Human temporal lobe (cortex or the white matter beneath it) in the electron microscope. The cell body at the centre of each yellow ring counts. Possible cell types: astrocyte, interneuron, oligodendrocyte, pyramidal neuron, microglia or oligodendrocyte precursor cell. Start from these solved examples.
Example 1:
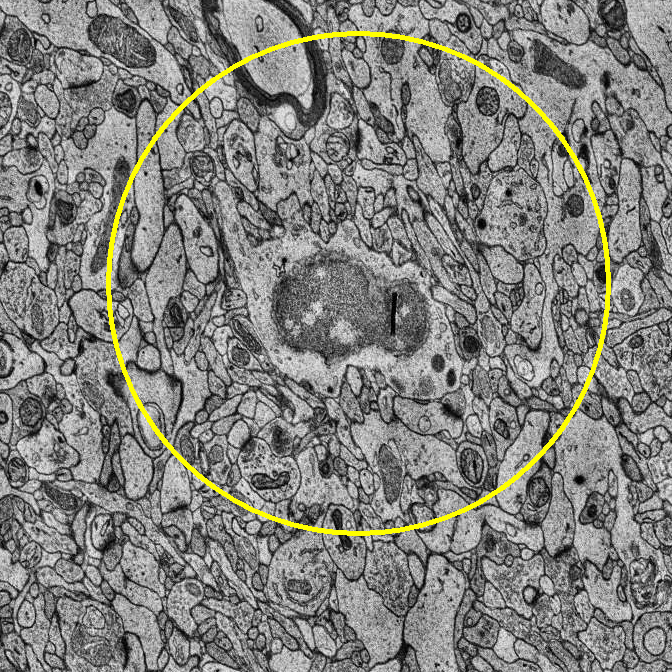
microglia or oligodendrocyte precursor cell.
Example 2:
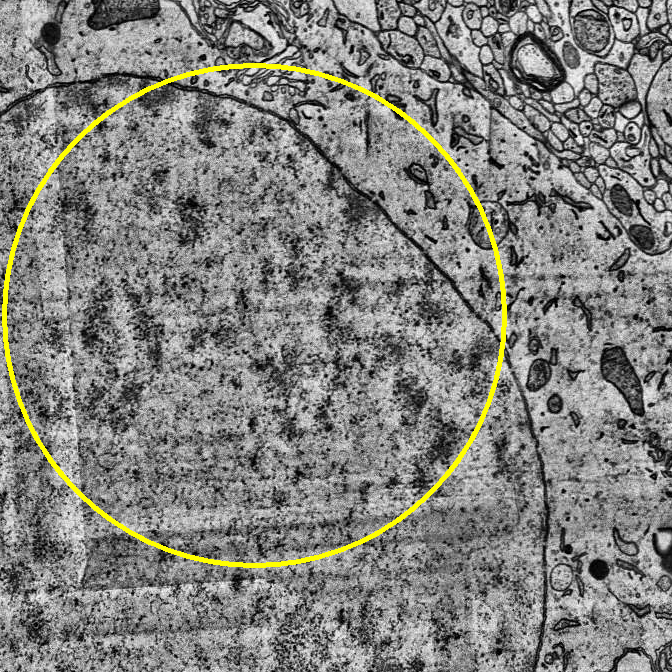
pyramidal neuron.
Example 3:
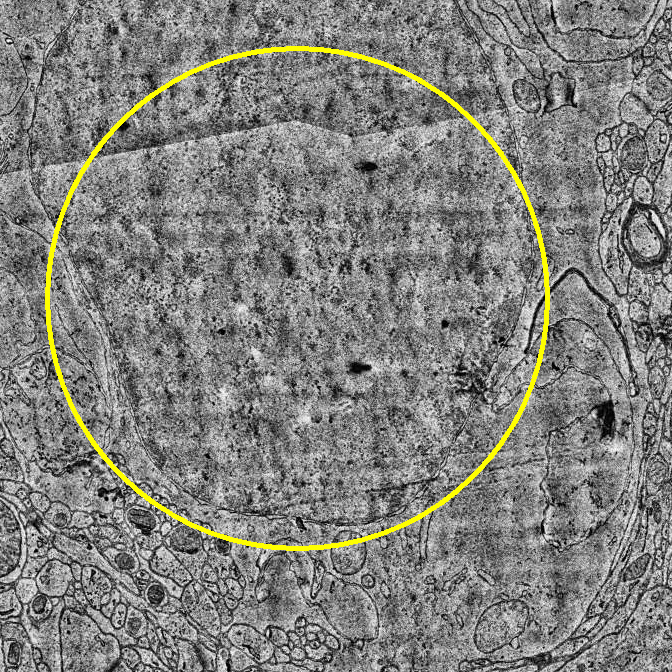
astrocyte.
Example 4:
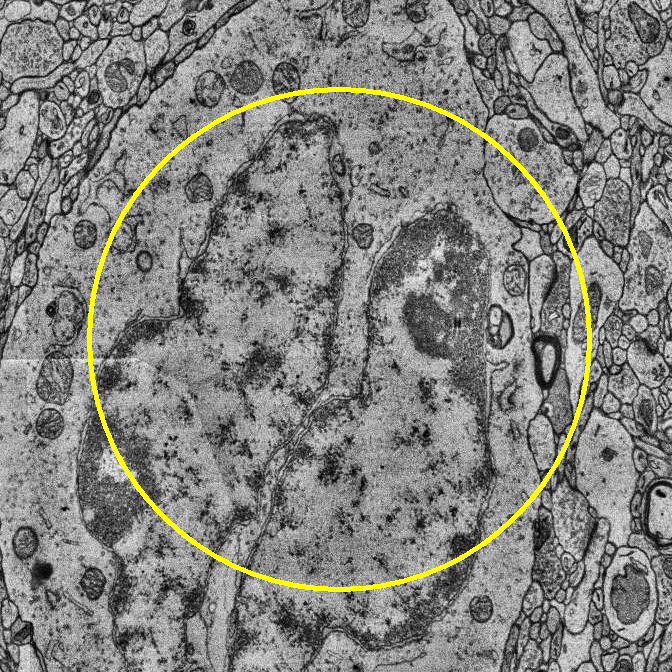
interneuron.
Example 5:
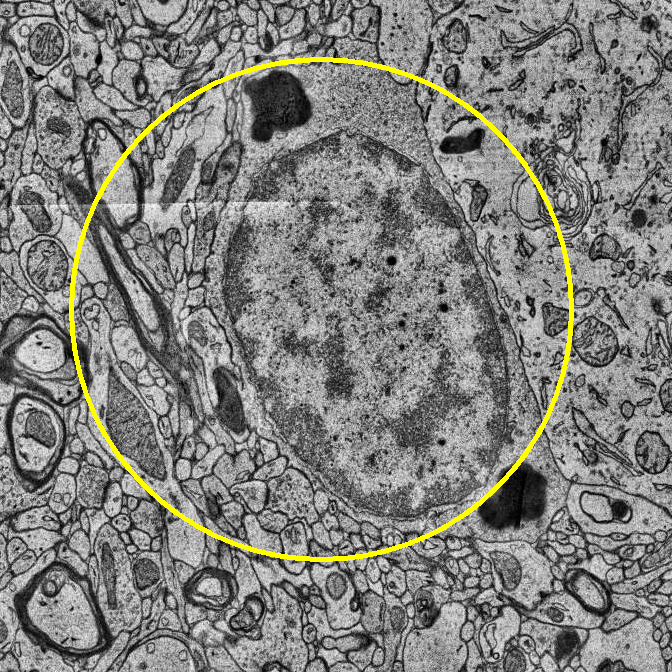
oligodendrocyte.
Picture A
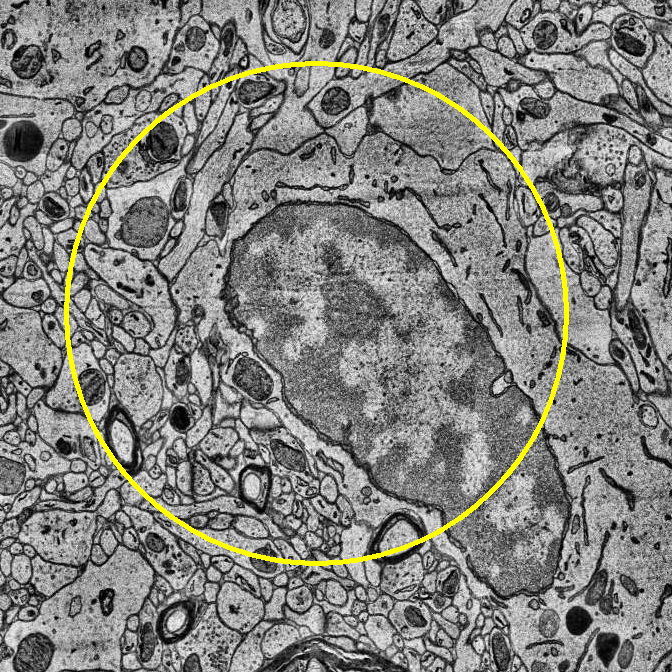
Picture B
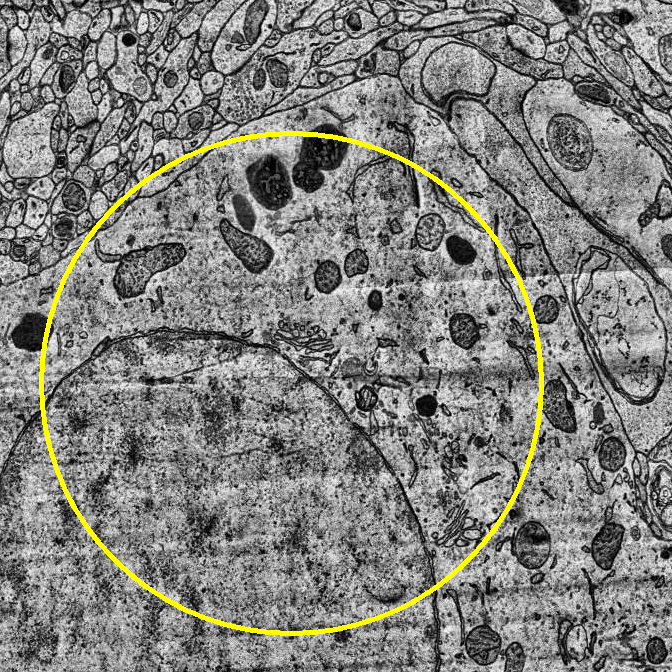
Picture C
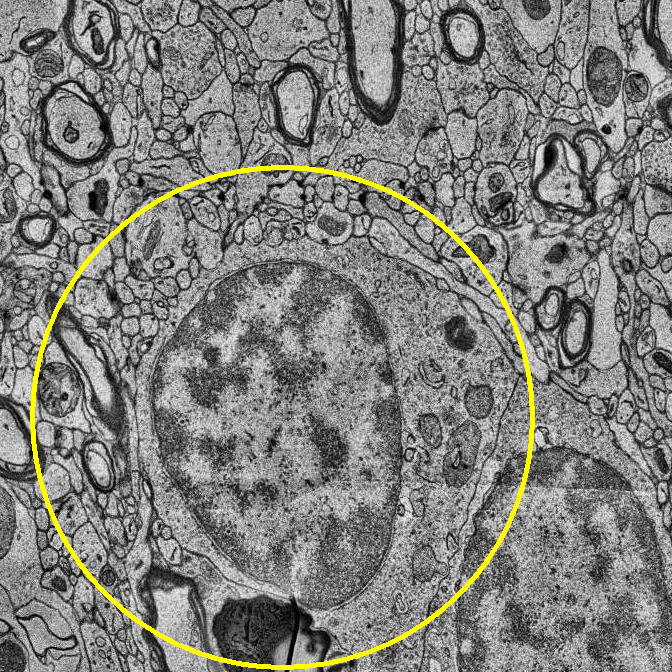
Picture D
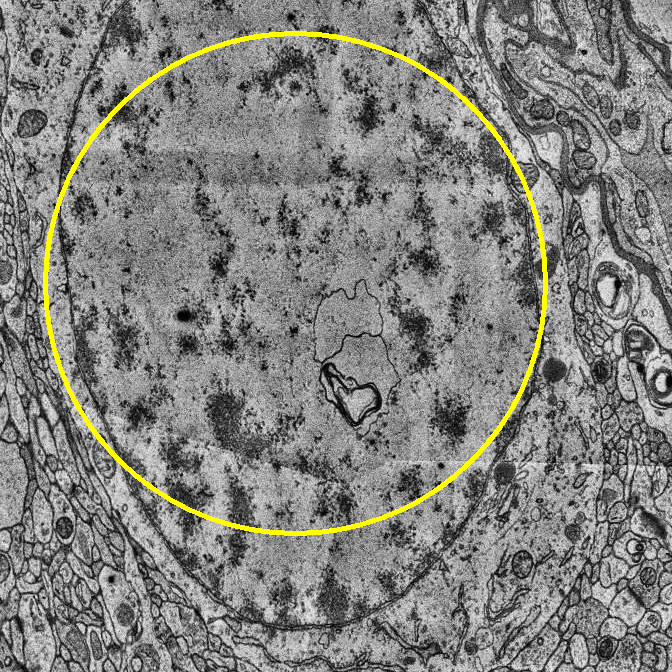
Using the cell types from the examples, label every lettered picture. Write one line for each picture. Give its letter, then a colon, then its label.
A: microglia or oligodendrocyte precursor cell.
B: pyramidal neuron.
C: oligodendrocyte.
D: pyramidal neuron.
